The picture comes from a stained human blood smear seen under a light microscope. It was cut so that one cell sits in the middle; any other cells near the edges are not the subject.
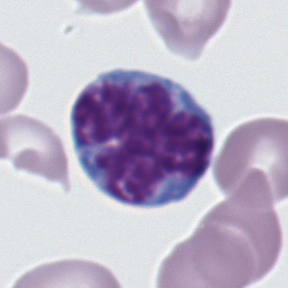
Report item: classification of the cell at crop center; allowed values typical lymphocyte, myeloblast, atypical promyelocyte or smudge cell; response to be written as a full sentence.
Classified as a myeloblast is the cell in the middle of this crop.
